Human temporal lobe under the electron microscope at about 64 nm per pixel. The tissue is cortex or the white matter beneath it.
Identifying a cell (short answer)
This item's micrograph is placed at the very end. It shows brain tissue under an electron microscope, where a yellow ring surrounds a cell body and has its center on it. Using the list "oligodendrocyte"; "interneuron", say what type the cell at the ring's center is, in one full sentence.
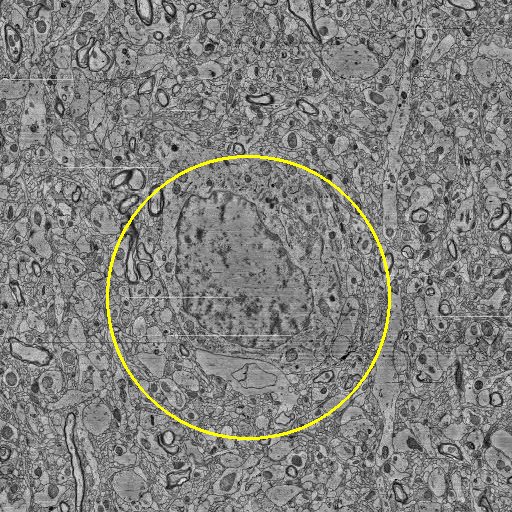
This picture shows an interneuron at the center of the yellow ring drawn on it.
